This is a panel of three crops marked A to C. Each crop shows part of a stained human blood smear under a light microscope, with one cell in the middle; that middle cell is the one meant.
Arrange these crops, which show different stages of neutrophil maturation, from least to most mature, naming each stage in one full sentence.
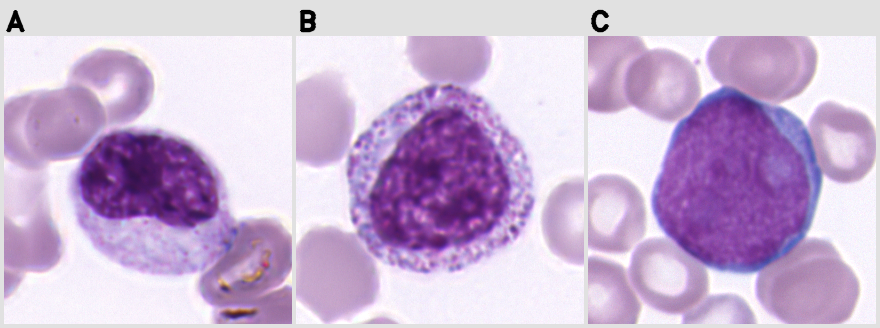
Across the crops, maturity increases in the order crop C (a myeloblast), crop B (a myelocyte) and crop A (a metamyelocyte).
